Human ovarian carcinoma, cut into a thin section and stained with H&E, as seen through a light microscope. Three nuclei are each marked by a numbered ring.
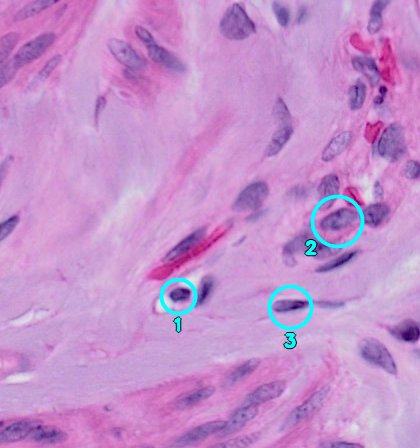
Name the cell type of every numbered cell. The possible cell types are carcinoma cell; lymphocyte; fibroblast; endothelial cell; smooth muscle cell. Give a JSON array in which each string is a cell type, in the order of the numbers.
["lymphocyte", "endothelial cell", "fibroblast"]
